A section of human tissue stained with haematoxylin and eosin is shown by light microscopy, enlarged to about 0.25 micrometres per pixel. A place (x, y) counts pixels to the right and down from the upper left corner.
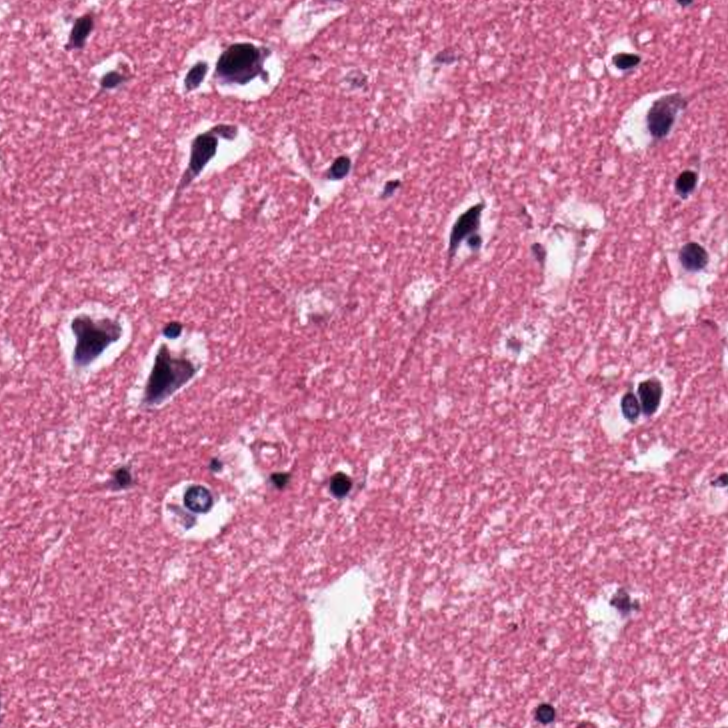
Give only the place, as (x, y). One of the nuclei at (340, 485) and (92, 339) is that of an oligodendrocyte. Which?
(340, 485)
